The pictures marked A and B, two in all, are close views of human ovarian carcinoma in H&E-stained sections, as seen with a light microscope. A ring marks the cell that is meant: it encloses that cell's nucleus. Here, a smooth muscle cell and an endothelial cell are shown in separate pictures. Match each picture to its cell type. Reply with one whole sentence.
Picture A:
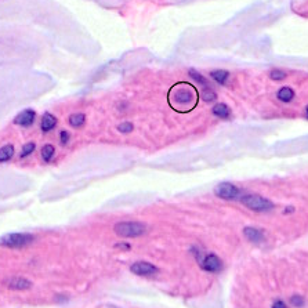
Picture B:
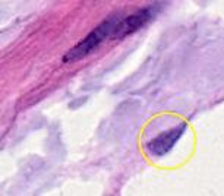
The cell in picture A is a smooth muscle cell, and the one in picture B is an endothelial cell.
